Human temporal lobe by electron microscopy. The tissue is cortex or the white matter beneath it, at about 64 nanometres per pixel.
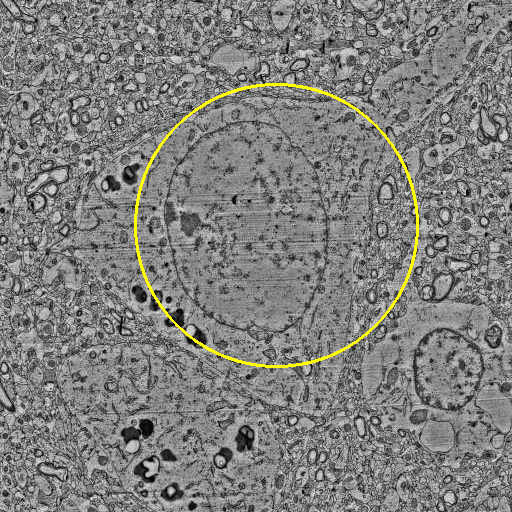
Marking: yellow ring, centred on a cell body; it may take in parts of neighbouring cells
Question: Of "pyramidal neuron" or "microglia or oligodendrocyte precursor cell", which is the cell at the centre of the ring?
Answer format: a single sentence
The ring surrounds the body of a pyramidal neuron.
